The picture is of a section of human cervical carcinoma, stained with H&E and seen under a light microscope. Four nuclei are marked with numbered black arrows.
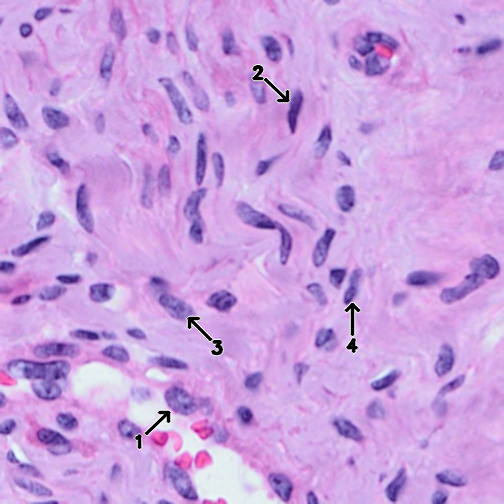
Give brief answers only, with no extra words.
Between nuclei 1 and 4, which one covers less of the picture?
4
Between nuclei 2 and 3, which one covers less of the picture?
2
